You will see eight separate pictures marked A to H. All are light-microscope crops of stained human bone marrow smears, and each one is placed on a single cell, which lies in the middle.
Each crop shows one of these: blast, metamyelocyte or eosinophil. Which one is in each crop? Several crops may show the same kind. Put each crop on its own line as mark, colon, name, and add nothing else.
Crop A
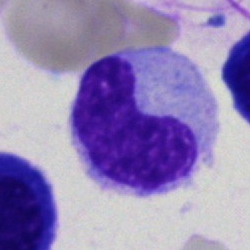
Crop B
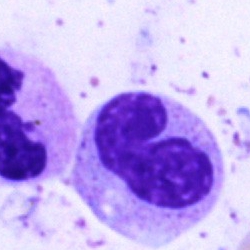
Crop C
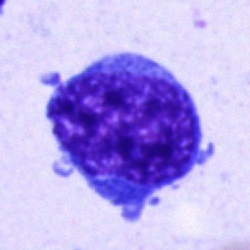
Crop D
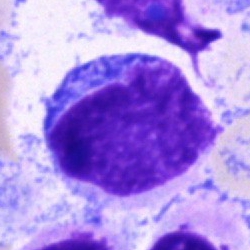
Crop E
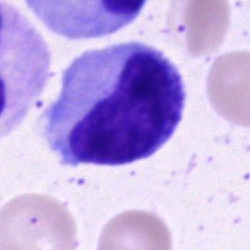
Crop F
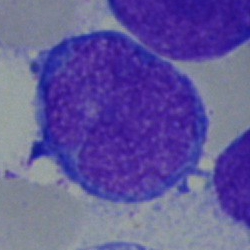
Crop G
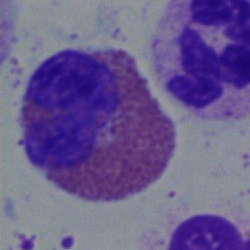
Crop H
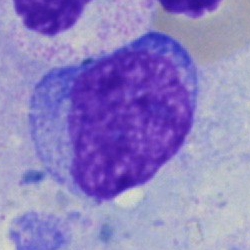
A: metamyelocyte
B: metamyelocyte
C: blast
D: blast
E: metamyelocyte
F: blast
G: eosinophil
H: blast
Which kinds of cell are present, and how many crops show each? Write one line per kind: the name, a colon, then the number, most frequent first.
blast: 4
metamyelocyte: 3
eosinophil: 1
